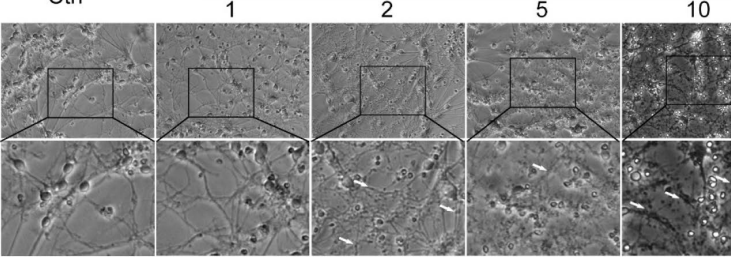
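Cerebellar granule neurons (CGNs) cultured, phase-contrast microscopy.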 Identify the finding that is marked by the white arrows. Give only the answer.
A: Beading formation.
